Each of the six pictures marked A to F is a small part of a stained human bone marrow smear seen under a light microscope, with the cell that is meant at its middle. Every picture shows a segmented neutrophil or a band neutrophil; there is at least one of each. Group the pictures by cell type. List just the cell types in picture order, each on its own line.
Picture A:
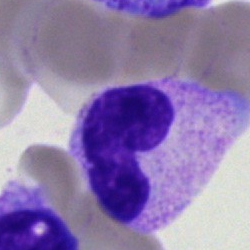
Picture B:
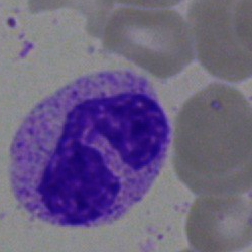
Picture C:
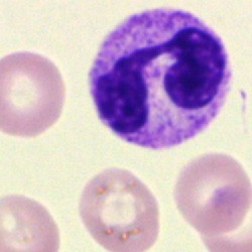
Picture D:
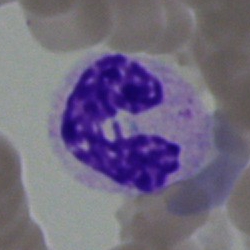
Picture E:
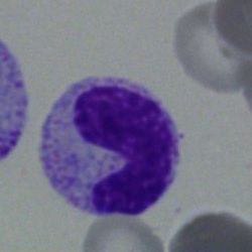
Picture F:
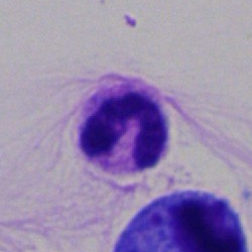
band neutrophil
segmented neutrophil
segmented neutrophil
segmented neutrophil
band neutrophil
segmented neutrophil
